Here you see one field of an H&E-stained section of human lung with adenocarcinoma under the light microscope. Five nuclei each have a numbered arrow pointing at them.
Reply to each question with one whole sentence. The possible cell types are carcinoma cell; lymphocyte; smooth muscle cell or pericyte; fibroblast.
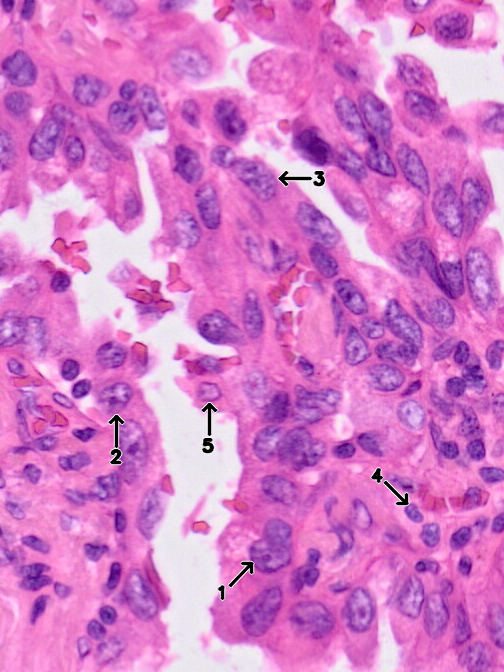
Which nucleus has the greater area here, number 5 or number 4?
Nucleus 5 is the larger one, covering about 2 times the area of nucleus 4.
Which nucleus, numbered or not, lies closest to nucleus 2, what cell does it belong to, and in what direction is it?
The closest nucleus belongs to a lymphocyte and sits to the left of nucleus 2.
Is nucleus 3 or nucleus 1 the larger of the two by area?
Nucleus 1 is larger, with an area about 1.5 times that of nucleus 3.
